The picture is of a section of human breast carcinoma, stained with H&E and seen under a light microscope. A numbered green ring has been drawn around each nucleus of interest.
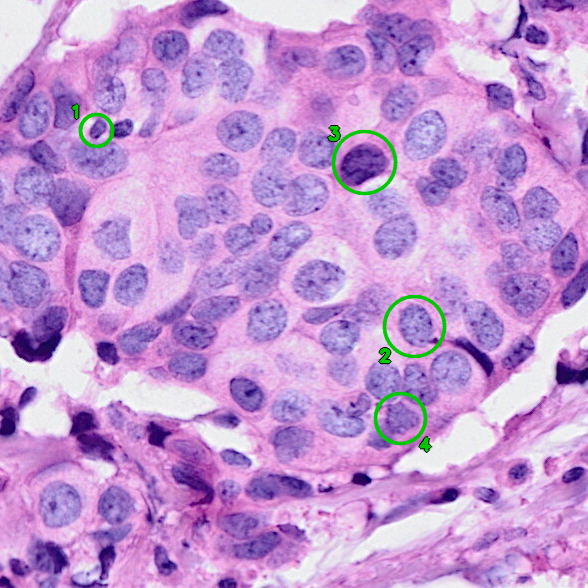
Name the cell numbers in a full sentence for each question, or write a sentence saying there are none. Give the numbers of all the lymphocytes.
Cell 1 is a lymphocyte, and that holds for no other numbered cell.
